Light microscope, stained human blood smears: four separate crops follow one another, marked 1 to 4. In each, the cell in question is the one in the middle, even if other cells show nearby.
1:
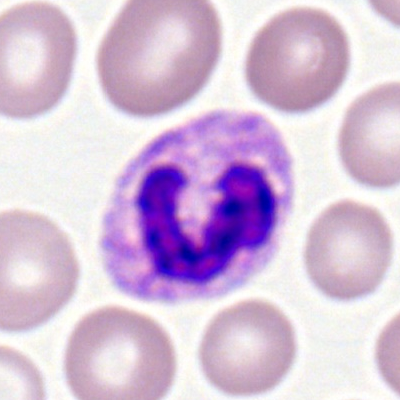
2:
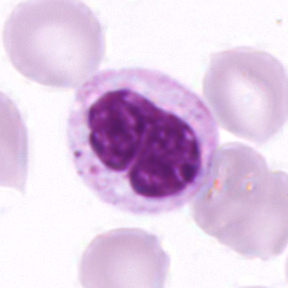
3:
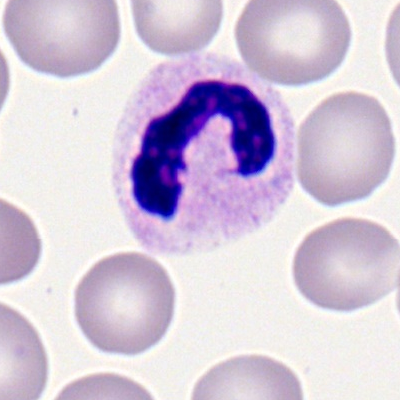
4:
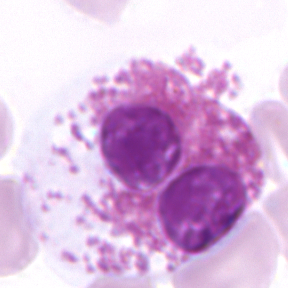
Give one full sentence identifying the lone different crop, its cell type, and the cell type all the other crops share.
The others are all band neutrophils; crop 4 is an eosinophil.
